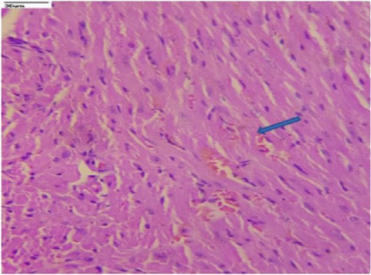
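This is heart muscle, with cardiac muscle fibres cut mostly along their length. The fibres are pink and run obliquely across the field, with oval, purple nuclei set within them. Between the fibres, in several places, small red-orange cells gather in clusters and streaks, filling the spaces between the muscle bundles; the blue arrow points at one such collection, showing congestion of the vessels.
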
